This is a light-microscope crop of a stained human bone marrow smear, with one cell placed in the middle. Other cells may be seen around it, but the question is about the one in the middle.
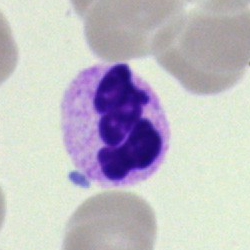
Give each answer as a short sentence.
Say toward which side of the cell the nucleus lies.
It is shifted toward the right of the cell.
